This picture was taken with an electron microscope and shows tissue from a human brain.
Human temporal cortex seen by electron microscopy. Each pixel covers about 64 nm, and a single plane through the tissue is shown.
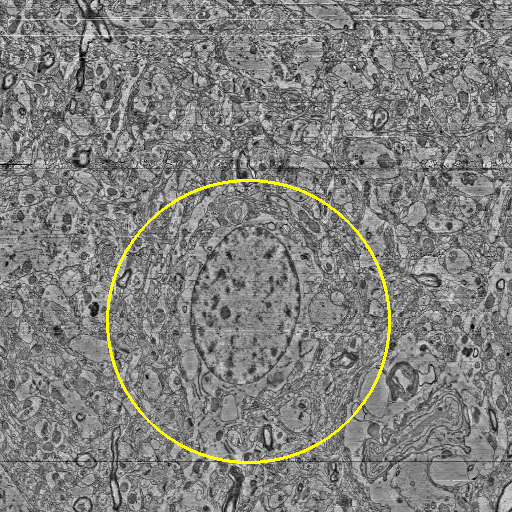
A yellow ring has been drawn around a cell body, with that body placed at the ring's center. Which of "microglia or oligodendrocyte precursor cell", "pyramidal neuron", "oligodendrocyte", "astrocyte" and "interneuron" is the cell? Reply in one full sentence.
In this picture, an astrocyte is the cell at the center of the yellow ring.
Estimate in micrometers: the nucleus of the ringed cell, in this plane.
In this plane, about 11 by 7 micrometres: the nucleus is clearly longer than it is wide.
